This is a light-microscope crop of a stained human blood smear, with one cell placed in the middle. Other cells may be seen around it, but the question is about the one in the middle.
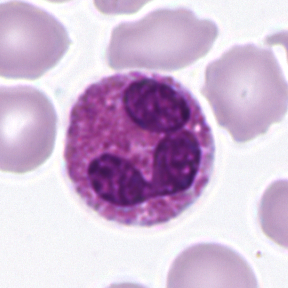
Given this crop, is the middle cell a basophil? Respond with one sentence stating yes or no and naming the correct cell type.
No, the centre cell is not a basophil but an eosinophil.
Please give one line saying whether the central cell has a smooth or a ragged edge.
There are no projections here; the outline is simply smooth.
